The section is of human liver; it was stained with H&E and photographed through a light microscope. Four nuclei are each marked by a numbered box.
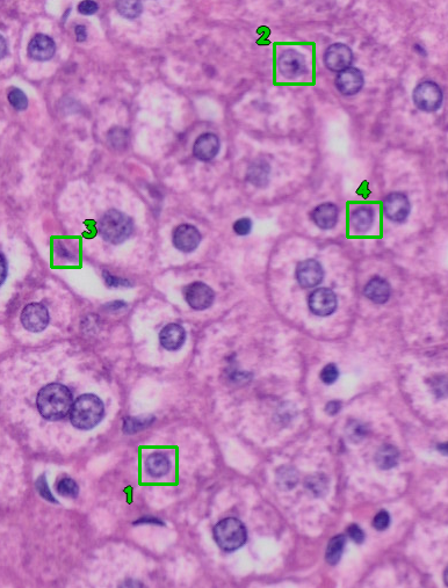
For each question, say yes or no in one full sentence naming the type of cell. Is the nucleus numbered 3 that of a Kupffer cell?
Yes, that is so; number 3 marks a Kupffer cell.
